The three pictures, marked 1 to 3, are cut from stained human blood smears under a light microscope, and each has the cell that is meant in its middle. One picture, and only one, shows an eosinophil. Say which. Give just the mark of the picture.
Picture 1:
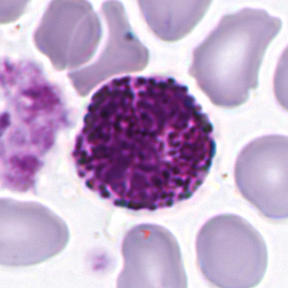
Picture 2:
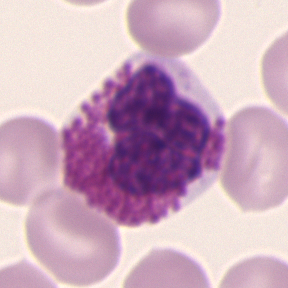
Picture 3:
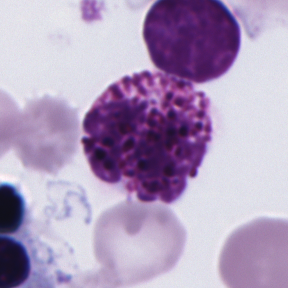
2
